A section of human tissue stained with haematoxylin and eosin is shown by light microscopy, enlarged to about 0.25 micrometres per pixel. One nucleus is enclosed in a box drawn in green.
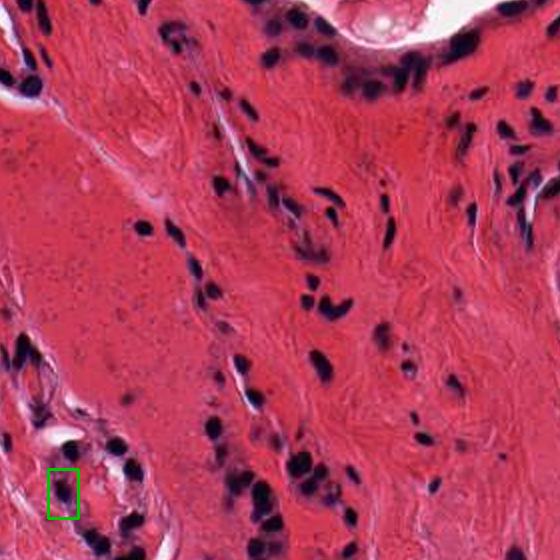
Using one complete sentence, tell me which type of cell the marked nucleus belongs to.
Singled out by the mark is the nucleus of a thyroid follicular cell.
